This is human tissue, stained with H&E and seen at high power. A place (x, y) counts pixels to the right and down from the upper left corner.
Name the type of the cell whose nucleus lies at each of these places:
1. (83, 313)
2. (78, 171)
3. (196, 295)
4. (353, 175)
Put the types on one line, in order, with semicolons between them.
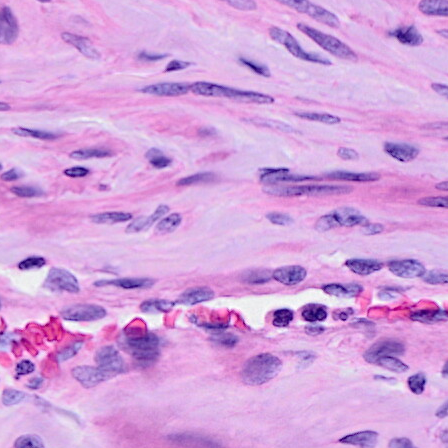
endothelial cell; smooth muscle cell; endothelial cell; smooth muscle cell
